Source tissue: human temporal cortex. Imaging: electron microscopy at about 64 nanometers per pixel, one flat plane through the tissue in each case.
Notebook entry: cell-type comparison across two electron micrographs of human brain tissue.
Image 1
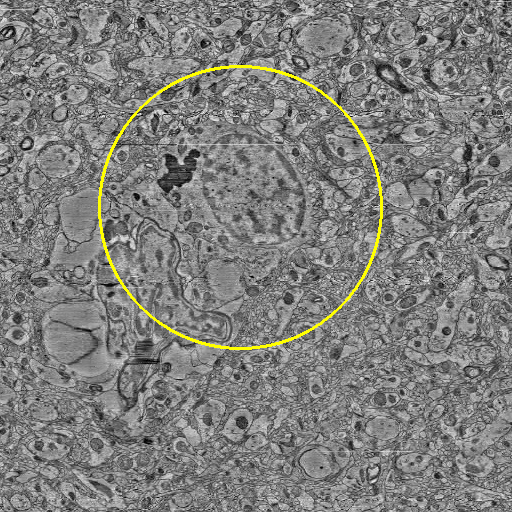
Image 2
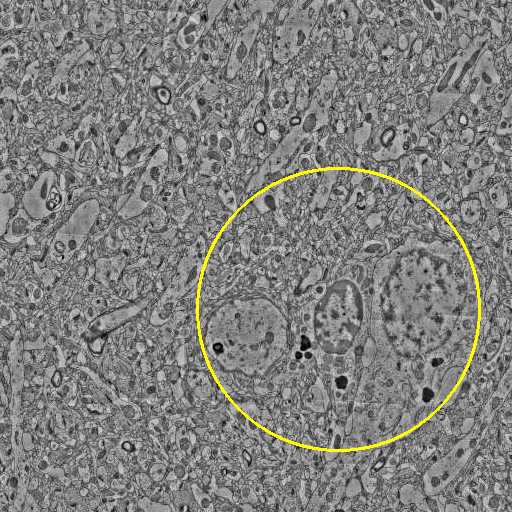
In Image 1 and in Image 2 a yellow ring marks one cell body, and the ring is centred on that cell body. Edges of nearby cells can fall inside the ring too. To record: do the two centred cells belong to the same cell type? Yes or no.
no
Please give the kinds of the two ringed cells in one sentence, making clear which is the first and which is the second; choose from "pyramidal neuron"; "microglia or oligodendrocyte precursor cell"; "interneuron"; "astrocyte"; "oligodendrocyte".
In the second picture the ringed cell is a microglial cell or oligodendrocyte precursor cell; in the first it is an oligodendrocyte.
